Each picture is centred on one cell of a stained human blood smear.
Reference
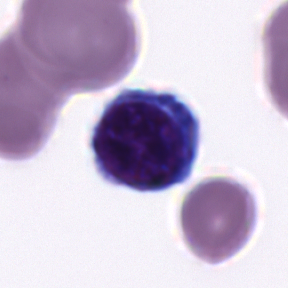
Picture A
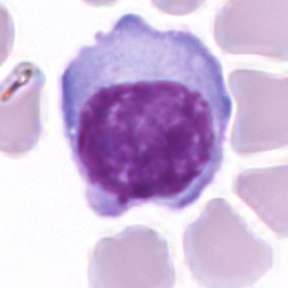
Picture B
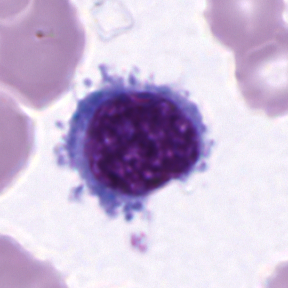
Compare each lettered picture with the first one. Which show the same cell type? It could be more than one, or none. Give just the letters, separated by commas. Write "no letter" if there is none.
A, B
